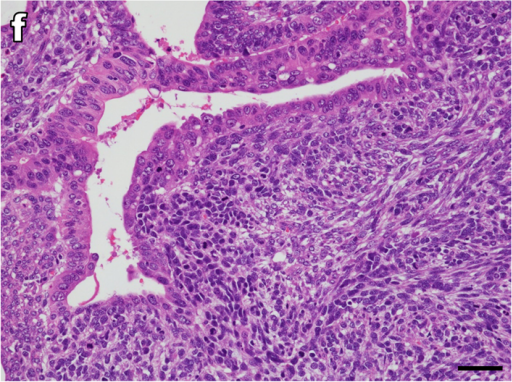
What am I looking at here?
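A cleft is lined by tall columnar epithelial cells with pink cytoplasm and elongated, crowded nuclei, forming the glandular tumor component. Beneath and beside it lies a dense sheet of atypical spindle and round cells with large, dark nuclei and little cytoplasm, giving a high nuclear-to-cytoplasmic ratio.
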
